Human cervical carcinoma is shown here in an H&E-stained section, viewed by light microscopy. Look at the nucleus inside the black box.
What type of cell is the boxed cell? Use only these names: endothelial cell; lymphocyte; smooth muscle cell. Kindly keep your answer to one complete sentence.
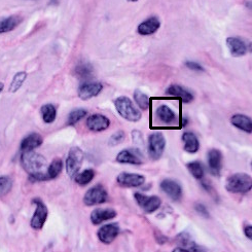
It is a lymphocyte that the boxed cell represents.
